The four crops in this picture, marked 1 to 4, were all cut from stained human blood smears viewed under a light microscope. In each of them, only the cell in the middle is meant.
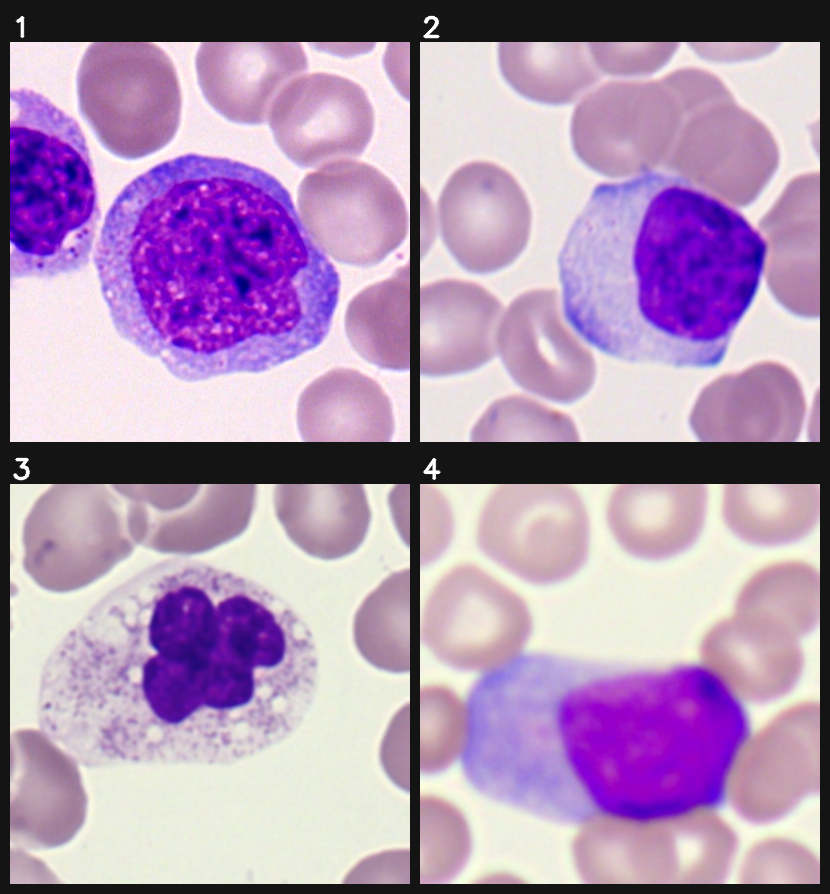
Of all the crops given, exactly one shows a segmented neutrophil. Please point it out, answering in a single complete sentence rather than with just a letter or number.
The requested cell, a segmented neutrophil, is the one in crop 3.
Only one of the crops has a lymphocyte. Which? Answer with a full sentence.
The crop marked 2 is the one that shows a lymphocyte.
